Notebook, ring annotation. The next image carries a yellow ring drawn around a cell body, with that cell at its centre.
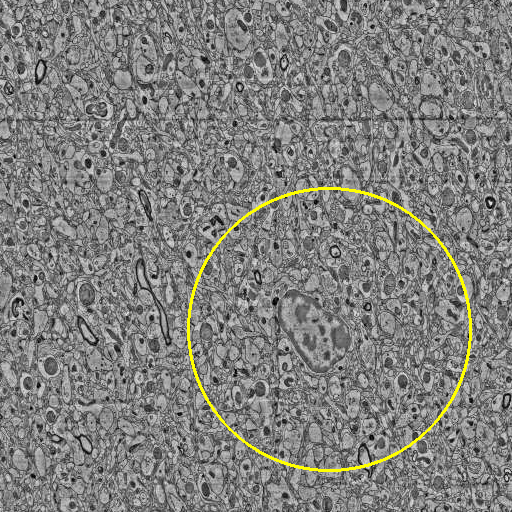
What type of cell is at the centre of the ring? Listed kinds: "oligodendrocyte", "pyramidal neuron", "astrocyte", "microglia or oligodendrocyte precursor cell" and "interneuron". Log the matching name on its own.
microglia or oligodendrocyte precursor cell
